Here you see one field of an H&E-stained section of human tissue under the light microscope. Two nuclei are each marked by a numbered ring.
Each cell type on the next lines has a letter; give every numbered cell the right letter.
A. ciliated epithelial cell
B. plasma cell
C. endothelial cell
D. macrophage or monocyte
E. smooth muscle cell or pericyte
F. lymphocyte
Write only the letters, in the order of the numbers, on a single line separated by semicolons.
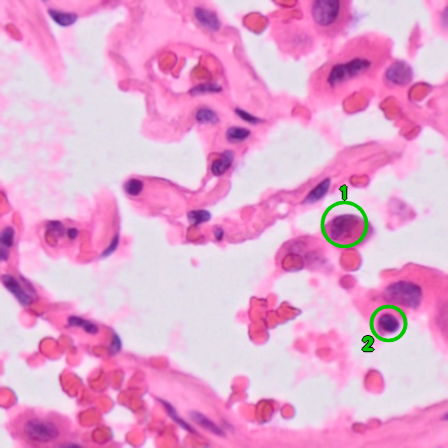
D; F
